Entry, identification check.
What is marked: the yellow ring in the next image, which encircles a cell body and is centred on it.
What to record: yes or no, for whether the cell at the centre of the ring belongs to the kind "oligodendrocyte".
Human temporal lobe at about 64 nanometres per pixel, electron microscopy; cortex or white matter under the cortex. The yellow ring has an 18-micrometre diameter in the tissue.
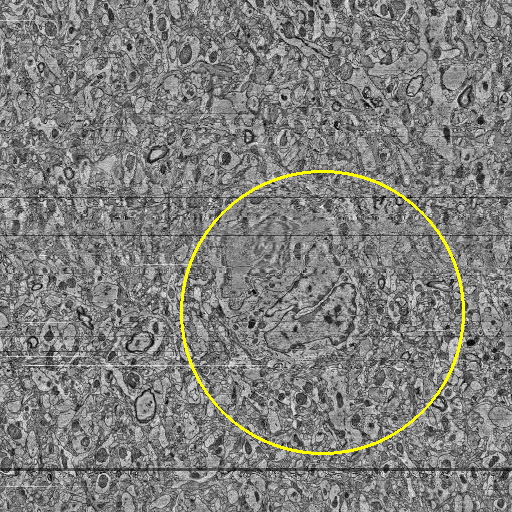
No, it belongs to another kind.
